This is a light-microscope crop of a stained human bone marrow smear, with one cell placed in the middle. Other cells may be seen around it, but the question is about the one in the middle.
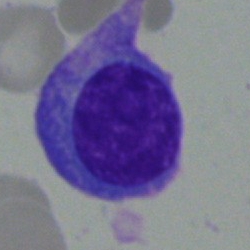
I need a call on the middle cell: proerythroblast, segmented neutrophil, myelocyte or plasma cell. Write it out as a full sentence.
The center cell of this crop is a plasma cell.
